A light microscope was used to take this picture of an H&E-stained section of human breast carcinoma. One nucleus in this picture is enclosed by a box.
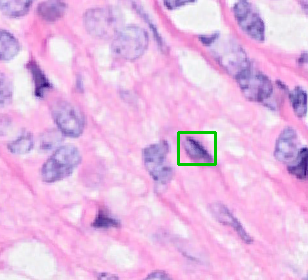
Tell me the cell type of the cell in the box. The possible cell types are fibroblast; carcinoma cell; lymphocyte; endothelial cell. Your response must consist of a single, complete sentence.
In terms of identity, the cell in the box is an endothelial cell.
